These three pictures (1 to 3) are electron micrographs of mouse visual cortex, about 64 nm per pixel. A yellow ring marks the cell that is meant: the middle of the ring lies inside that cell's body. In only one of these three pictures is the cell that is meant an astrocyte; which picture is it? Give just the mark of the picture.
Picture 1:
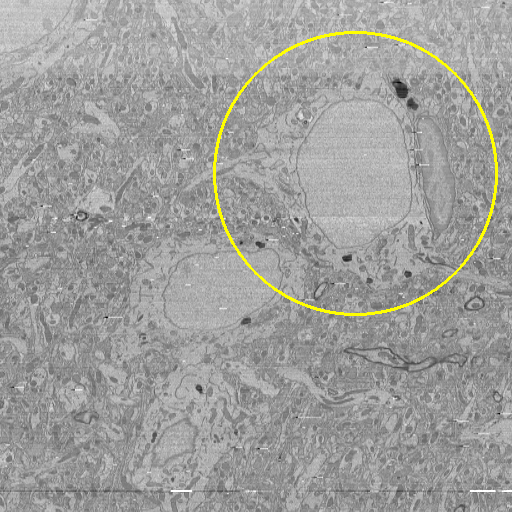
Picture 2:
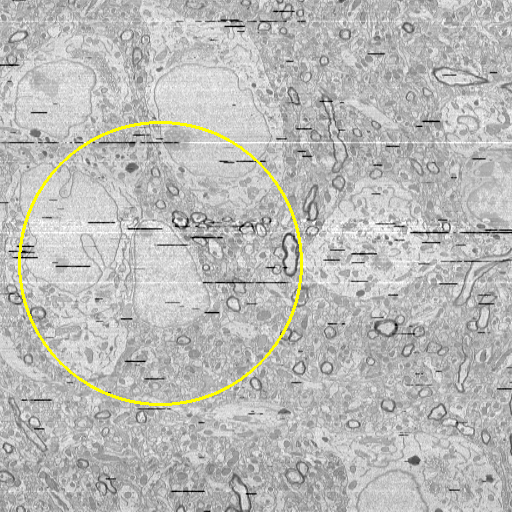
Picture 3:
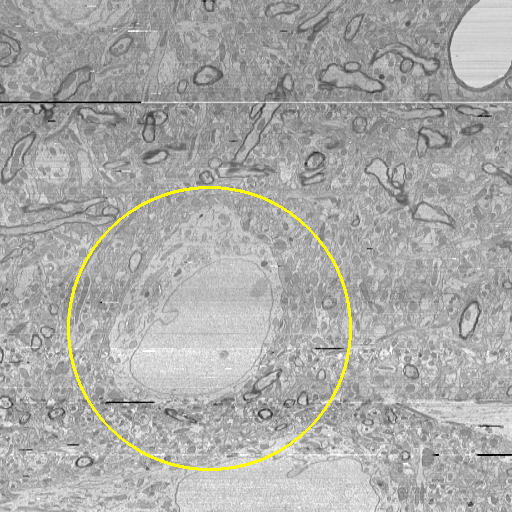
2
